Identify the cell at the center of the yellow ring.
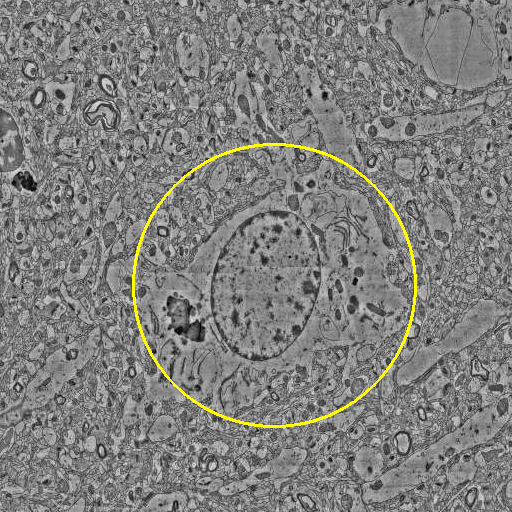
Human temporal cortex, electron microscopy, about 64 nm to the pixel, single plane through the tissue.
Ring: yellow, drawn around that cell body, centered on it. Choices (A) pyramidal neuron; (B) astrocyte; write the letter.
B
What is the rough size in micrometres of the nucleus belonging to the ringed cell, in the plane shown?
The ringed cell's nucleus is about 10 micrometres long and 7 micrometres wide in this plane.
